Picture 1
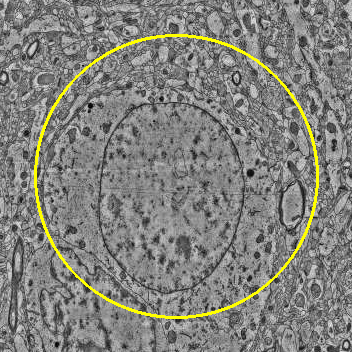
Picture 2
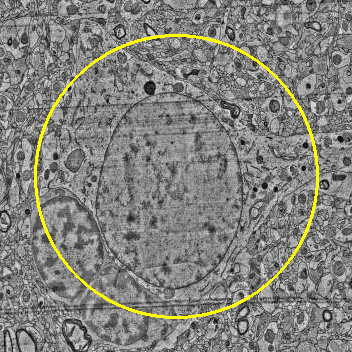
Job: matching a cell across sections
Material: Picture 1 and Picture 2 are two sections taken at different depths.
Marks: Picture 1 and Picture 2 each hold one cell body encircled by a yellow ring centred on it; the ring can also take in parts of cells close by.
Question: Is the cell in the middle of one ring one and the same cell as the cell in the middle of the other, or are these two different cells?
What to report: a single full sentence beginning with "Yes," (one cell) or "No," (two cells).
No, the cells within these rings are two separate cells.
